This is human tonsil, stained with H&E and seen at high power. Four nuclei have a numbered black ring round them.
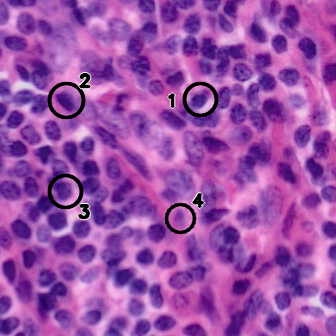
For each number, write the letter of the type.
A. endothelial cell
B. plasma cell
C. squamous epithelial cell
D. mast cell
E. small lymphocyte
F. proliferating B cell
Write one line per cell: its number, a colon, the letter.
1: E
2: A
3: E
4: A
